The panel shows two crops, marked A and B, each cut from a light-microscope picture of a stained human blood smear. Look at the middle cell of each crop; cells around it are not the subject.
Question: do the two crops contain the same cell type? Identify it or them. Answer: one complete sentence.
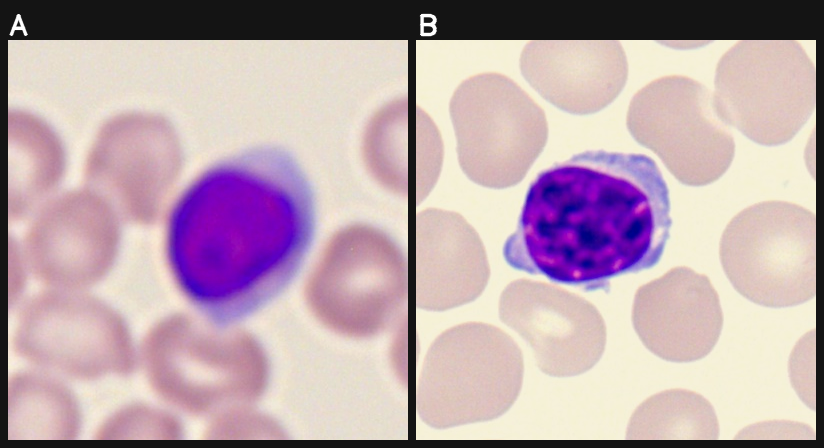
Yes, as for both crops, the cells shown are lymphocytes.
